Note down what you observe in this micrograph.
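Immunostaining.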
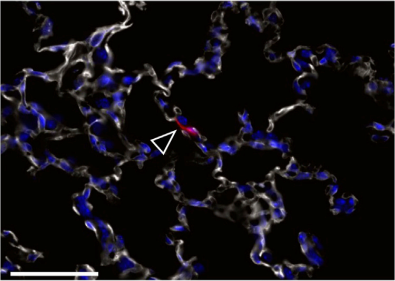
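This is alveolar lung tissue, a network of thin white-outlined septa with blue nuclei surrounding open airspaces. The arrowhead points to a single small, elongated red cell lying within one septum, without green, among the surrounding wall cells.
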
